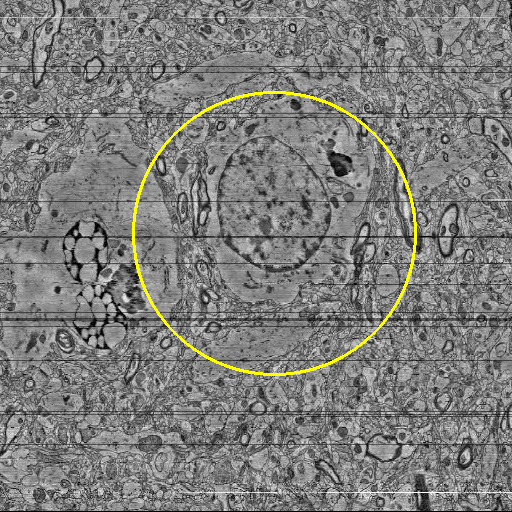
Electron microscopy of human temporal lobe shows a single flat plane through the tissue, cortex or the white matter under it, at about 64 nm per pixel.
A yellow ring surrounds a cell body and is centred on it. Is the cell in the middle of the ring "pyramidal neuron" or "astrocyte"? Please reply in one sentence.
The ring is centred on an astrocyte.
